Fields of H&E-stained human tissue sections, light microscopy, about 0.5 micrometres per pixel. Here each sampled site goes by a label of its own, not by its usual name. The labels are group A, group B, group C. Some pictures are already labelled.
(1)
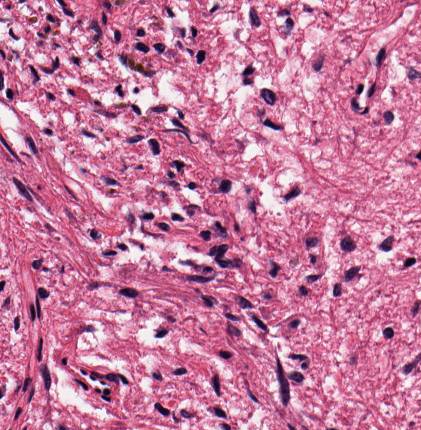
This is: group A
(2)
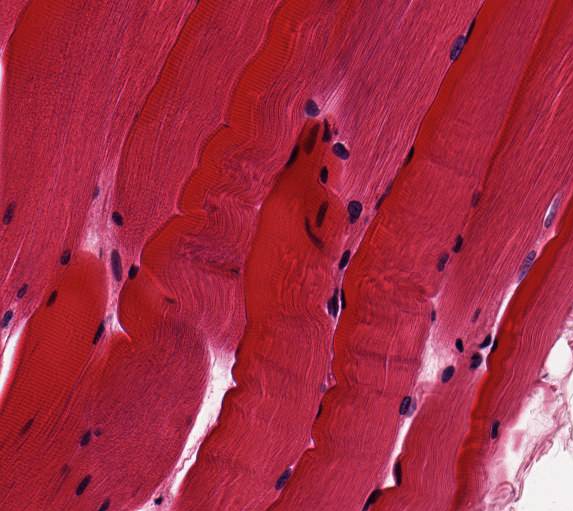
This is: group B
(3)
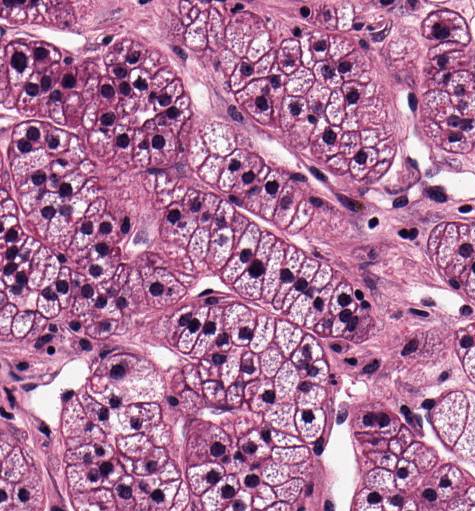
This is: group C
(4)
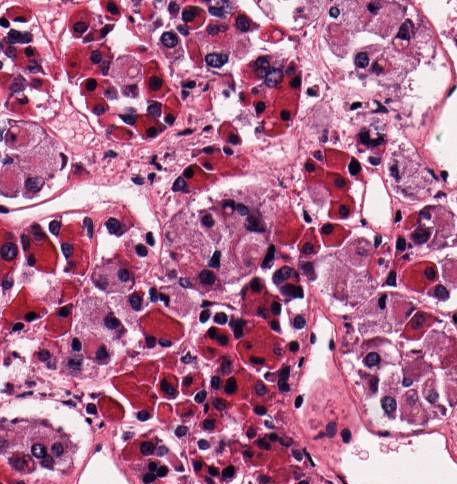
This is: group A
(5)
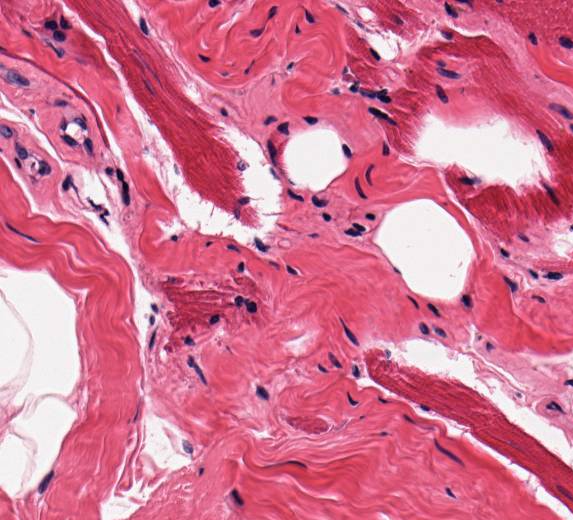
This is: group B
